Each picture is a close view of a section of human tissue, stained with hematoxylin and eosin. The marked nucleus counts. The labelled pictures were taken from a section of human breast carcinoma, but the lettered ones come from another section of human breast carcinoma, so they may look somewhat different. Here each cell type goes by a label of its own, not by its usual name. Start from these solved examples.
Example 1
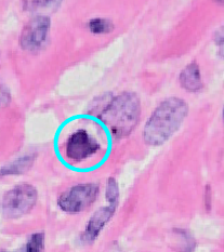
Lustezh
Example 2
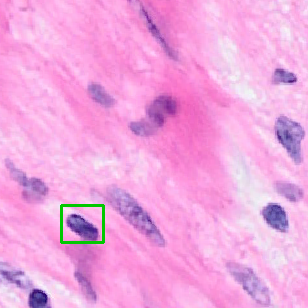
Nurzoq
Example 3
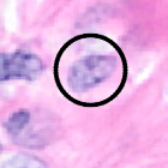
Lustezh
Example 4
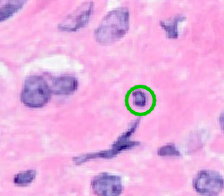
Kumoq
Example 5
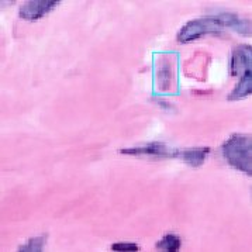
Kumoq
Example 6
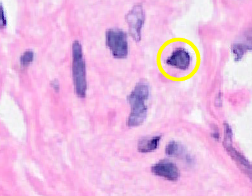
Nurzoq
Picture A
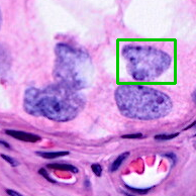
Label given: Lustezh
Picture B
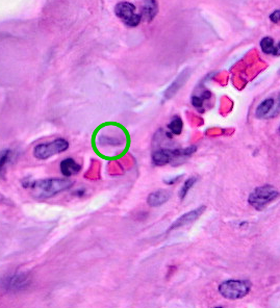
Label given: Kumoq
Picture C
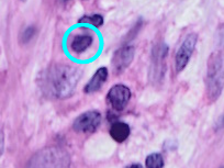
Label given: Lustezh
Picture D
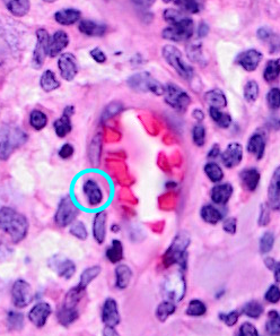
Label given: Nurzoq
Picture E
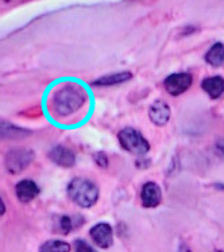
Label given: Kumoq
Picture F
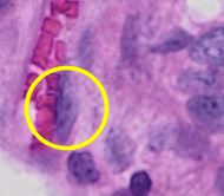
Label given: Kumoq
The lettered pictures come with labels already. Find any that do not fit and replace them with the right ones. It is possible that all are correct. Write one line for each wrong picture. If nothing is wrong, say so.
C is labelled Lustezh; correct label: Nurzoq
